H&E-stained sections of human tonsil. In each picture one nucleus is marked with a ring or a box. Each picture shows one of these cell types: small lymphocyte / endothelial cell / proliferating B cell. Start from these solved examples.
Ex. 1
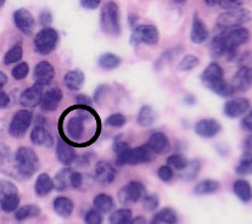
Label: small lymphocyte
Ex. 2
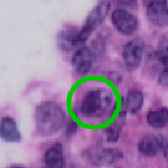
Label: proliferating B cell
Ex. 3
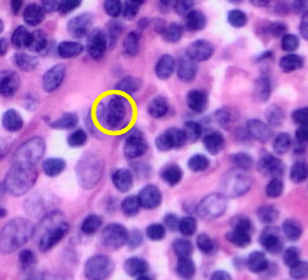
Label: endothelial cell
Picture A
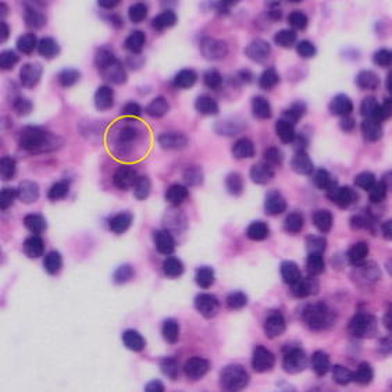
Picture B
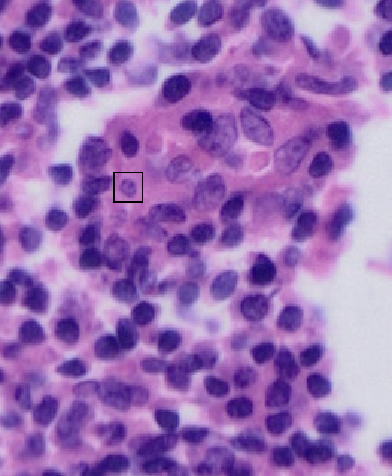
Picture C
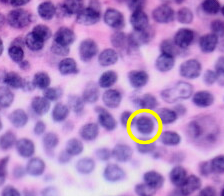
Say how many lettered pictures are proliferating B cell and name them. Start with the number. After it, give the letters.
0, none of them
